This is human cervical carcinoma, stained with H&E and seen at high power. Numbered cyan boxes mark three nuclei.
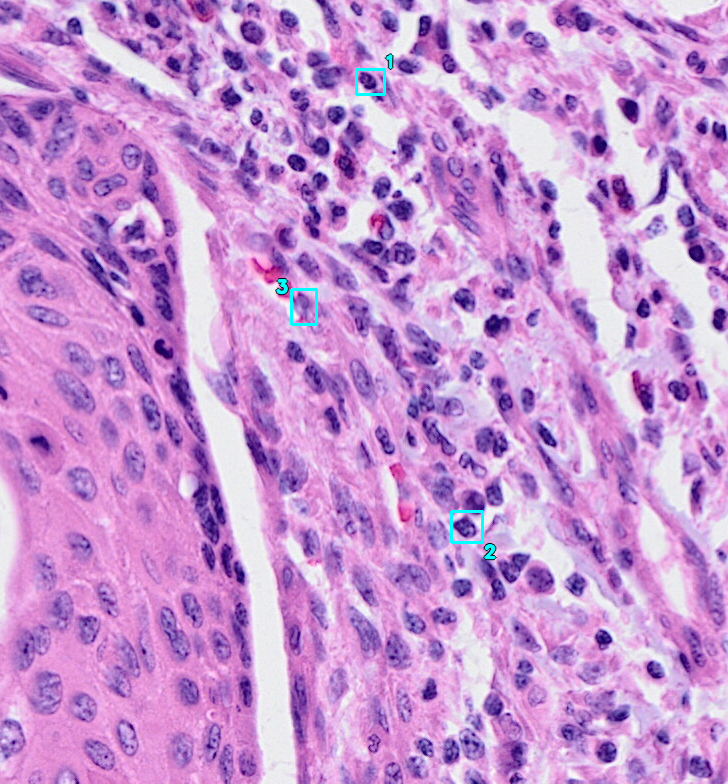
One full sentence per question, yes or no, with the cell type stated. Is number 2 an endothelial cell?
No, number 2 corresponds to a lymphocyte, not an endothelial cell.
